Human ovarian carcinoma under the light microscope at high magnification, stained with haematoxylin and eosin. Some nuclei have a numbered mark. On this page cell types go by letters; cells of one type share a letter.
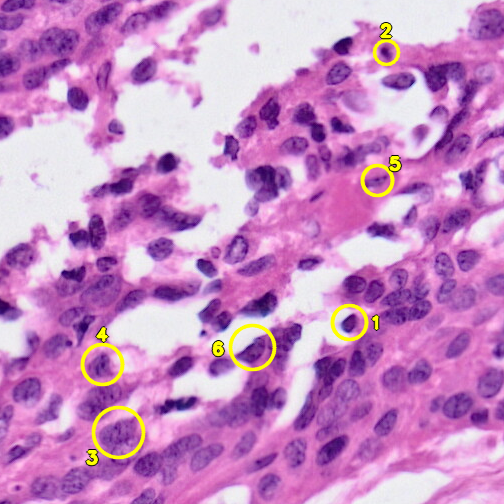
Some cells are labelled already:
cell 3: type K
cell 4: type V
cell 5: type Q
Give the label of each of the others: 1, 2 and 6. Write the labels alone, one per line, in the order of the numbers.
type K
type V
type K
